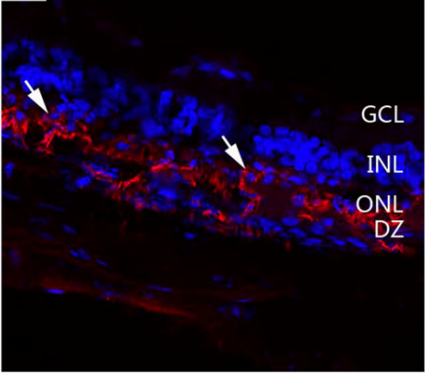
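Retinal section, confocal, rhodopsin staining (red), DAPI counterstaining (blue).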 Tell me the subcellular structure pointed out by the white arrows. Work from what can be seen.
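Rod cell bodies. The arrows point at red labeling lying among blue nuclei of the labeled outer nuclear layer. The red labeling forms irregular streaks around nuclei rather than a separate band outside them.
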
